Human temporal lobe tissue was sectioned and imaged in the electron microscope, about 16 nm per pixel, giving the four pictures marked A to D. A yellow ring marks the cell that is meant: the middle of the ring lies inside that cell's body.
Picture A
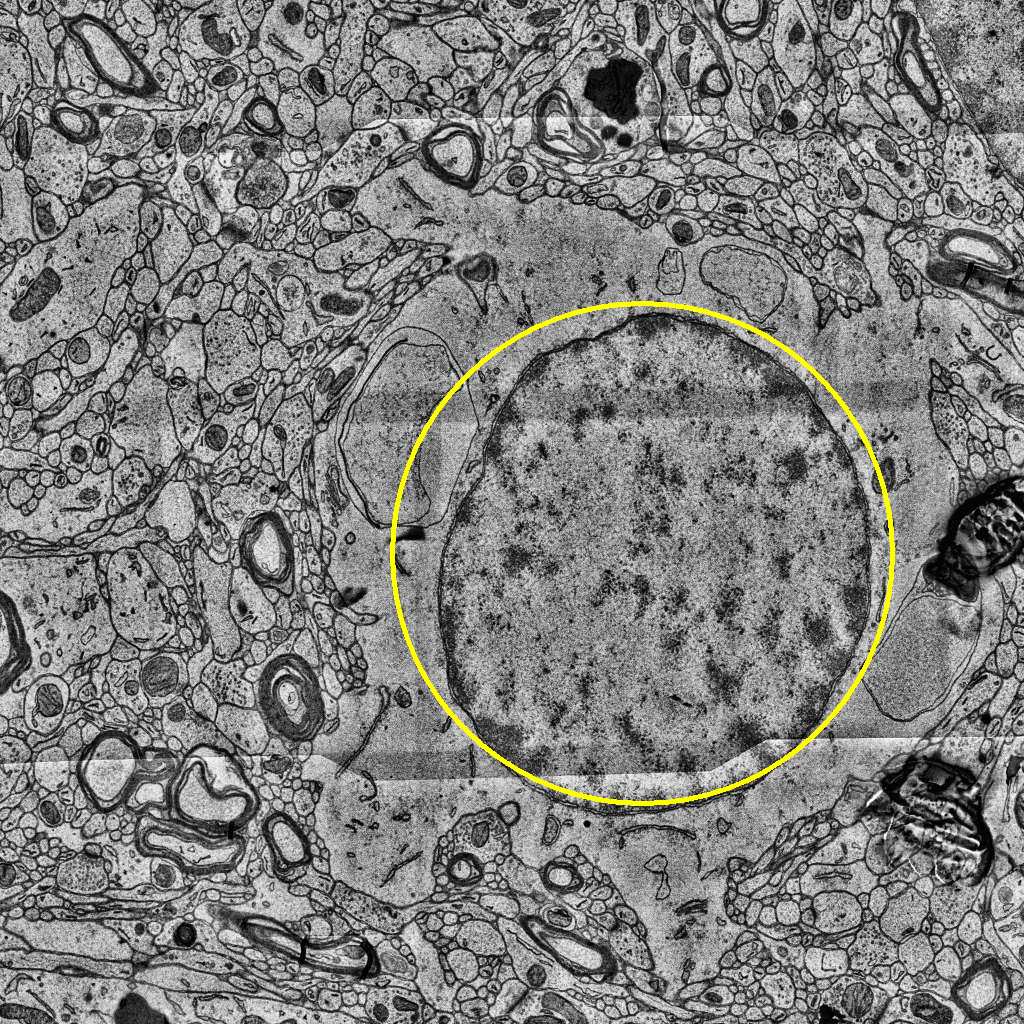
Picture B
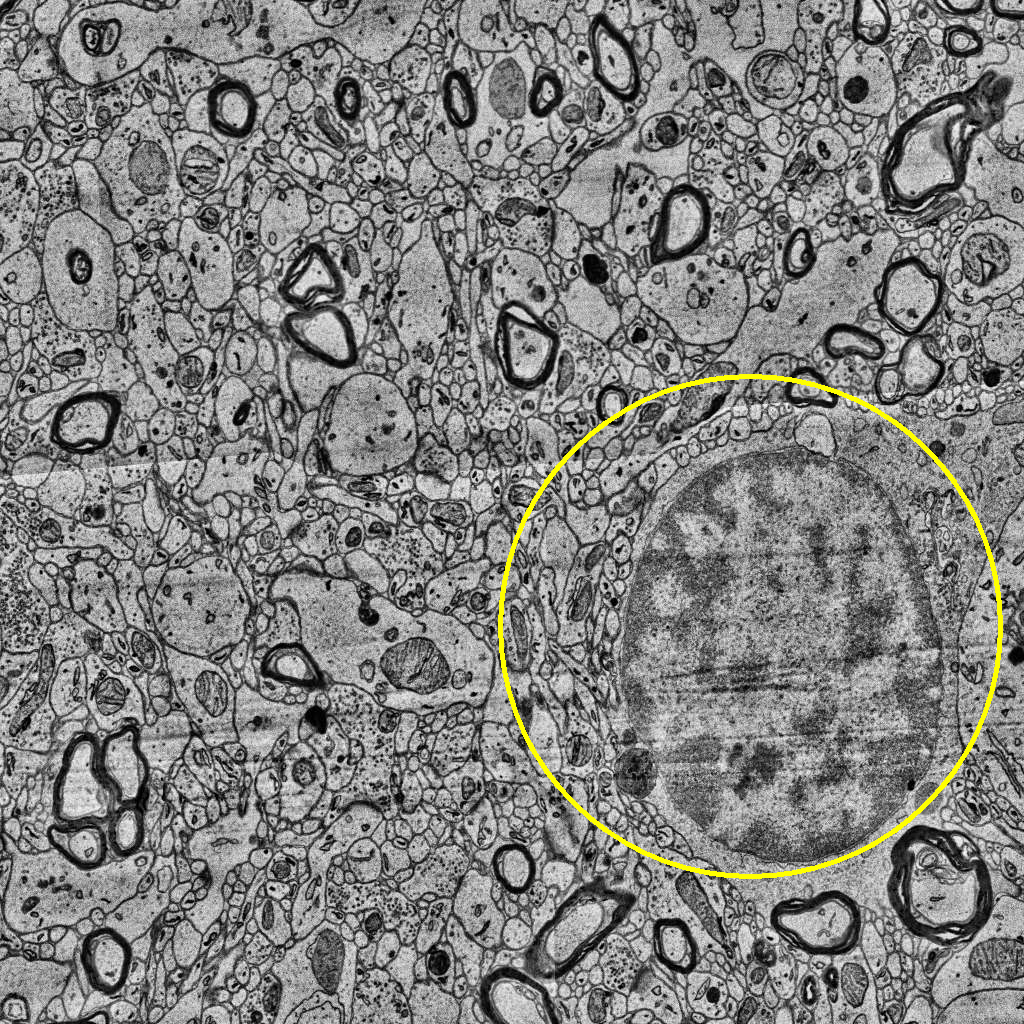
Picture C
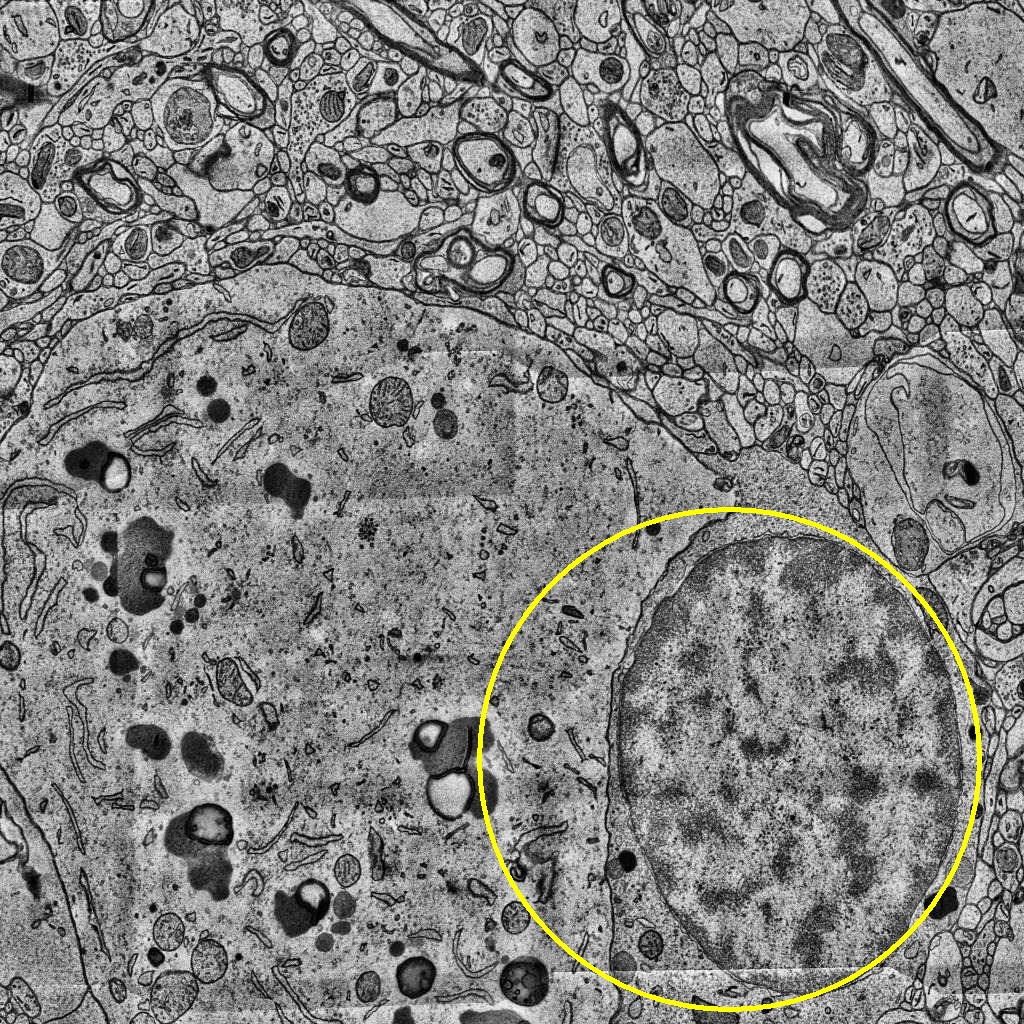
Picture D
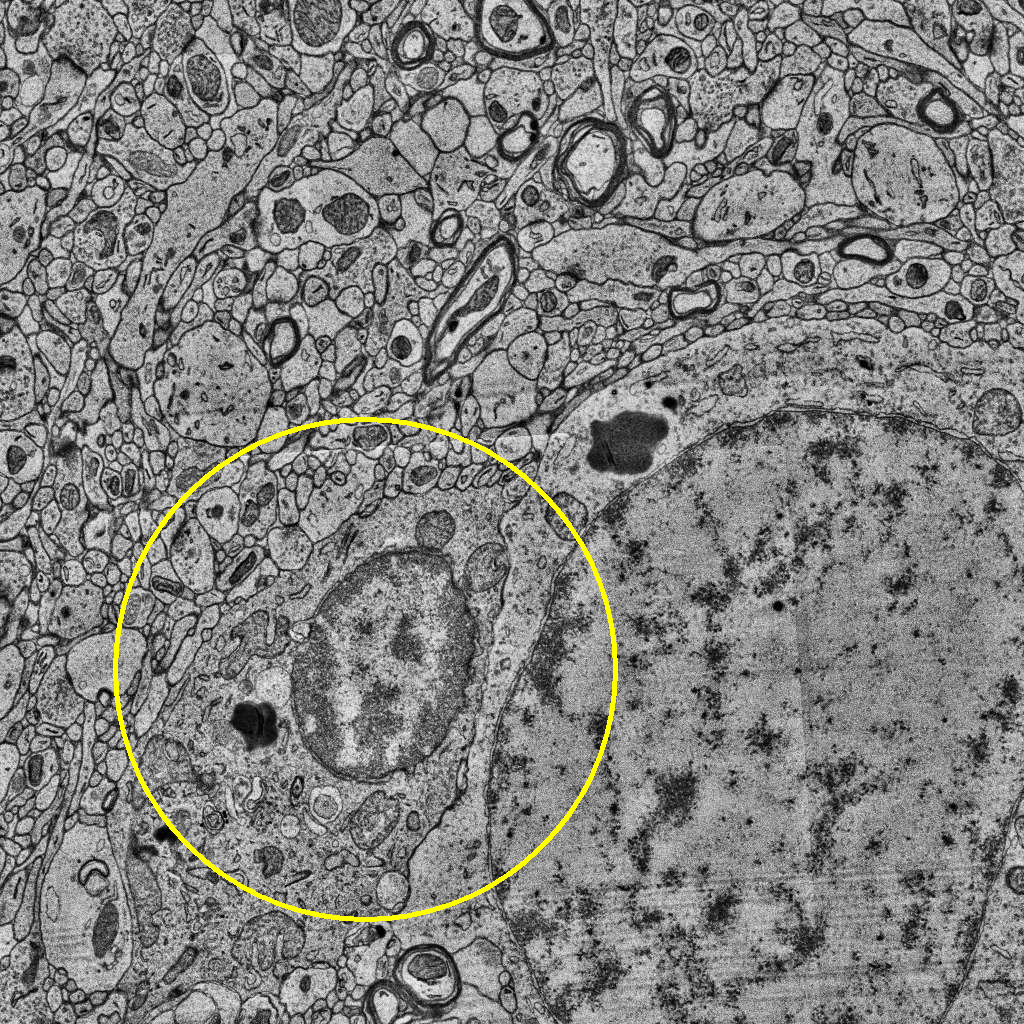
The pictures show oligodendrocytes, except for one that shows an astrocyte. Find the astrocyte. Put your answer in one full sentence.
The cell in picture A is the astrocyte.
